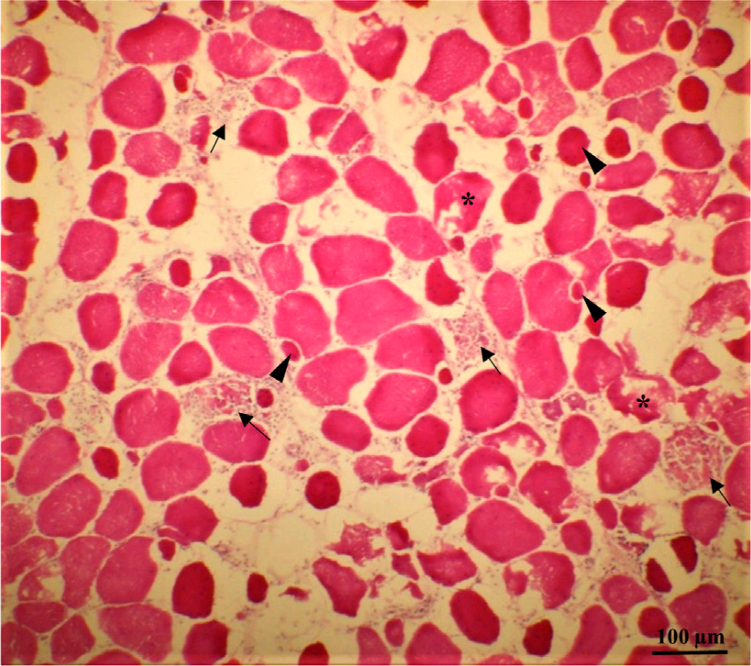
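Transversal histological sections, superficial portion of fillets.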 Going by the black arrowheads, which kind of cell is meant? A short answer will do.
Regenerative fibers.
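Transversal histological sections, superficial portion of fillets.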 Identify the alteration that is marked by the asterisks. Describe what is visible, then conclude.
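The fibers under the asterisks stain pale and patchy. Their outlines are irregular and their contents look fragmented.
Conclusion: necrosis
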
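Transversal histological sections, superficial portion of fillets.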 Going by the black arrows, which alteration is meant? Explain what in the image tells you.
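The arrows point to areas packed with many small dark nuclei. These cell clusters lie in the place of a fiber, among pale pink remnants. The answer: infiltration of inflammatory cells and phagocytosis of the remainder of the myofibers.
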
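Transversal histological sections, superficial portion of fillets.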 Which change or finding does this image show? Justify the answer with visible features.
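Muscle fibers reduced in number, spaced apart and with irregular fiber sizes. Fibers are separated by wide pale spaces. Fiber cross-sections range from very small to large.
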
